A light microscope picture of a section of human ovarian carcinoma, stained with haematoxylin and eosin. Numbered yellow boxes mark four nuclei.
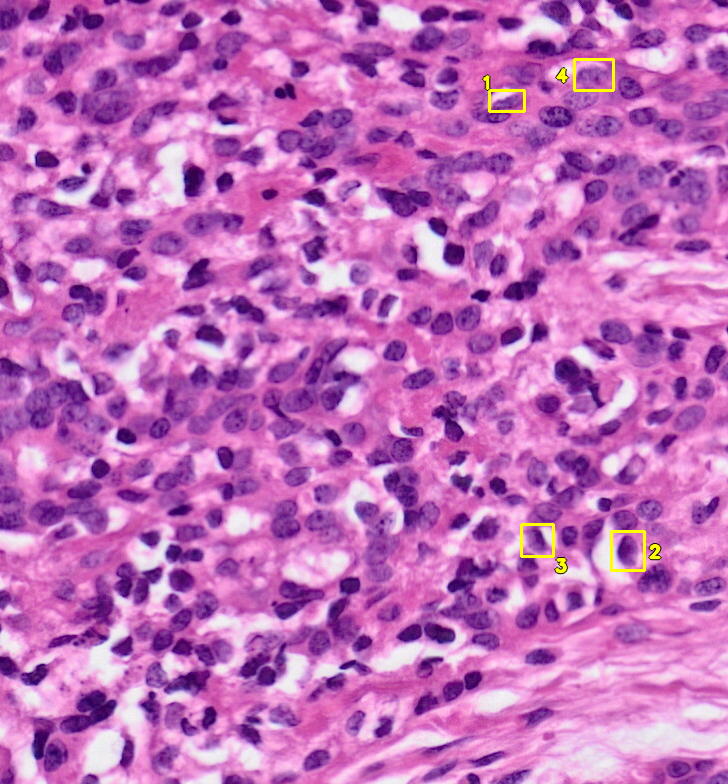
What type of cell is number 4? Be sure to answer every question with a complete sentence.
The cell with the number 4 is a carcinoma cell.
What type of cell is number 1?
Number 1 is placed on an endothelial cell here.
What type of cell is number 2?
Recognised here as a carcinoma cell is the cell numbered 2.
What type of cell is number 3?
Among the marked nuclei, number 3 belongs to a carcinoma cell.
